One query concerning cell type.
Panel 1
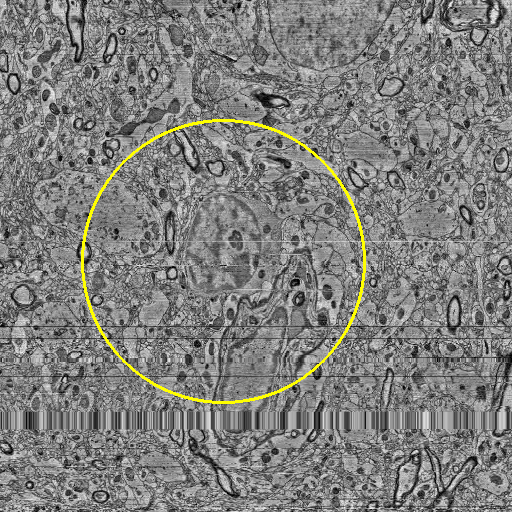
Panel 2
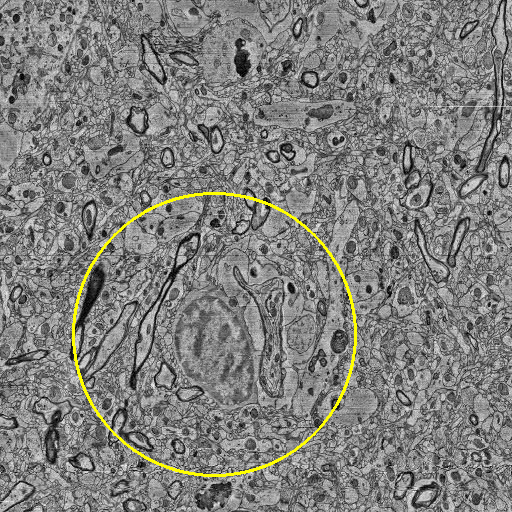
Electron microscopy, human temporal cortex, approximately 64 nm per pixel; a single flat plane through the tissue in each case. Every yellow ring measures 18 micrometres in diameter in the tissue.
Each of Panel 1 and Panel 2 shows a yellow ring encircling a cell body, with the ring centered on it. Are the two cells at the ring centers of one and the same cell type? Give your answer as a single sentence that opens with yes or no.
Yes, the cell centered in Panel 1 and the one in Panel 2 share a type.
